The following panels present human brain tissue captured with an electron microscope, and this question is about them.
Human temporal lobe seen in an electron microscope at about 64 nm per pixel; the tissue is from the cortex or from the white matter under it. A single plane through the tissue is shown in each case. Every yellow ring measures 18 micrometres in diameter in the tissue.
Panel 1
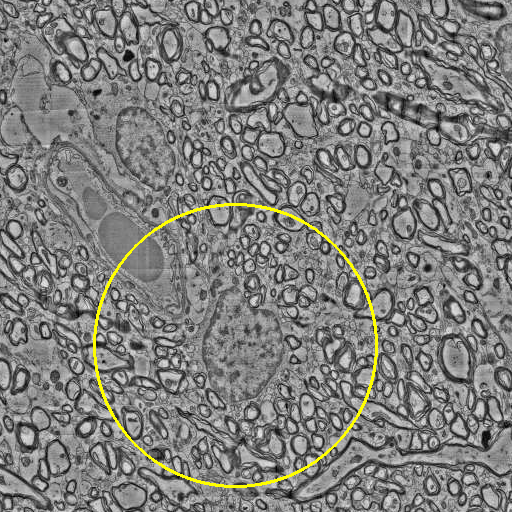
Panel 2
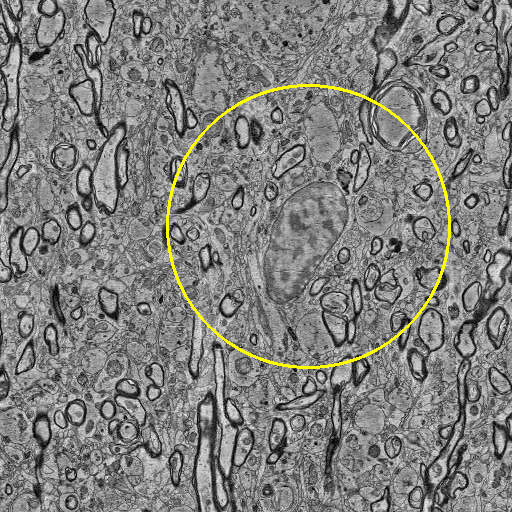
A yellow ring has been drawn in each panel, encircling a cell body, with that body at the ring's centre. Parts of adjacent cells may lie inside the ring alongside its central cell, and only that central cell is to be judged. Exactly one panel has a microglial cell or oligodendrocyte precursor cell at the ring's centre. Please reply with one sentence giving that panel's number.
The ring whose central cell fits the description is the one in panel 2.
